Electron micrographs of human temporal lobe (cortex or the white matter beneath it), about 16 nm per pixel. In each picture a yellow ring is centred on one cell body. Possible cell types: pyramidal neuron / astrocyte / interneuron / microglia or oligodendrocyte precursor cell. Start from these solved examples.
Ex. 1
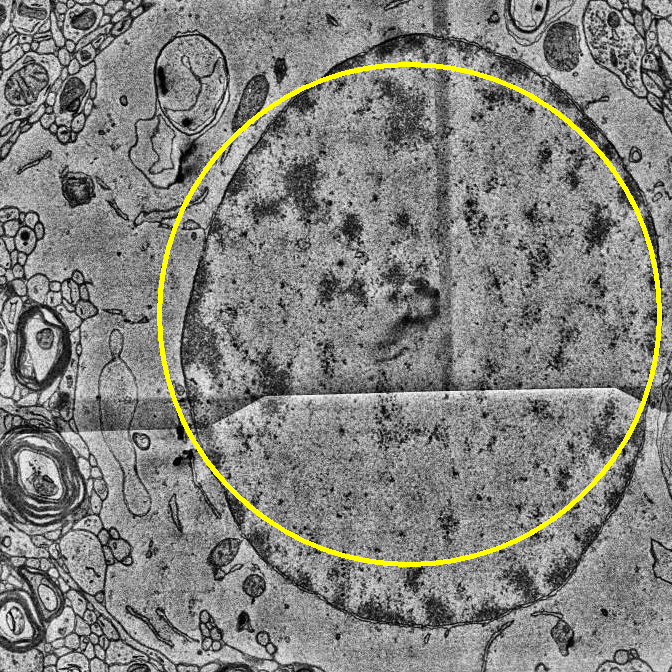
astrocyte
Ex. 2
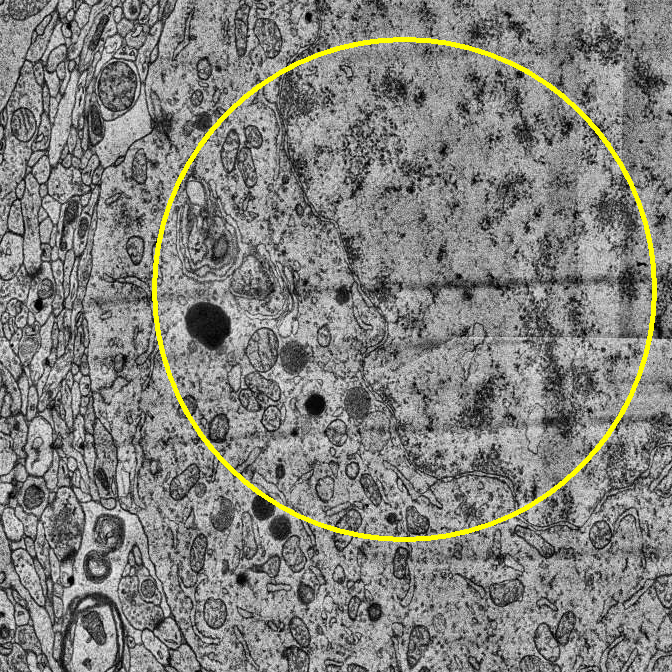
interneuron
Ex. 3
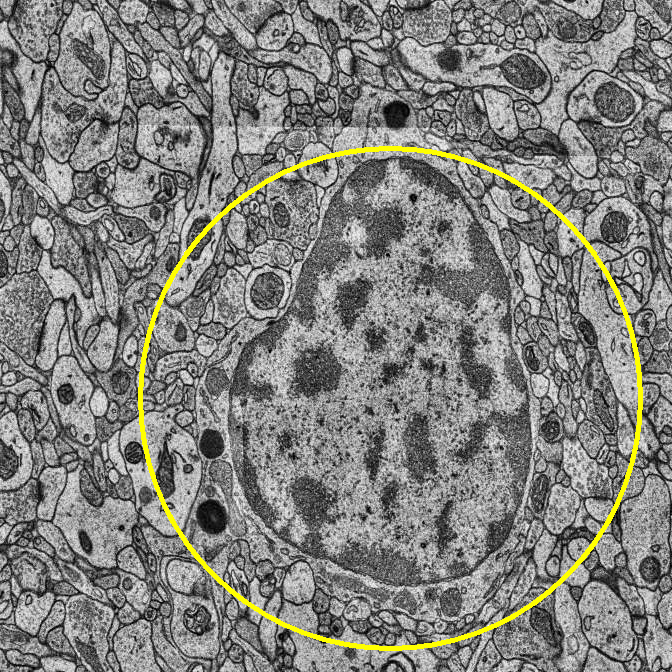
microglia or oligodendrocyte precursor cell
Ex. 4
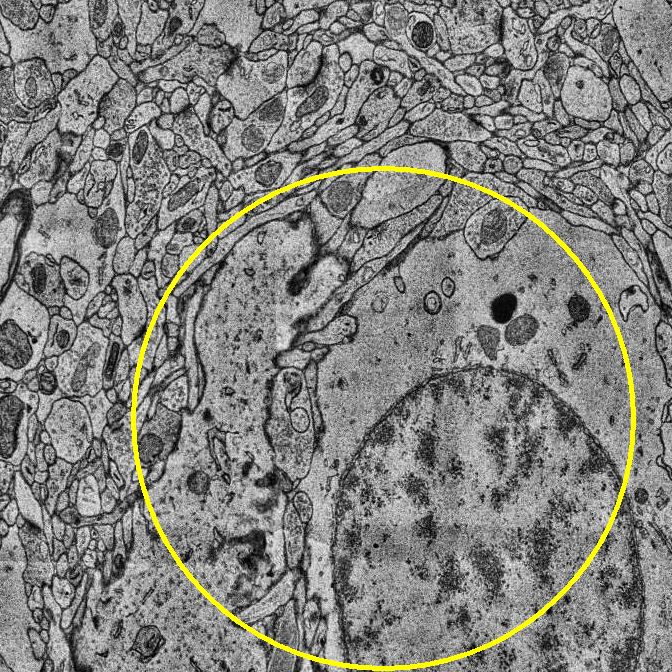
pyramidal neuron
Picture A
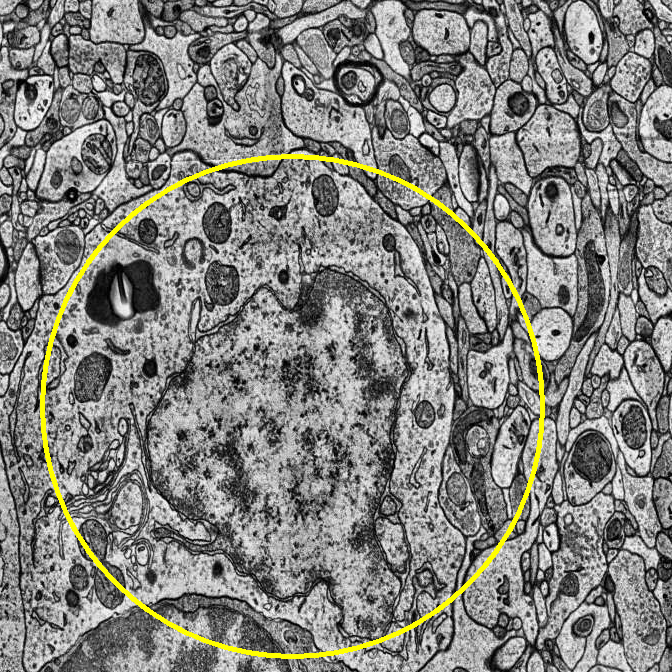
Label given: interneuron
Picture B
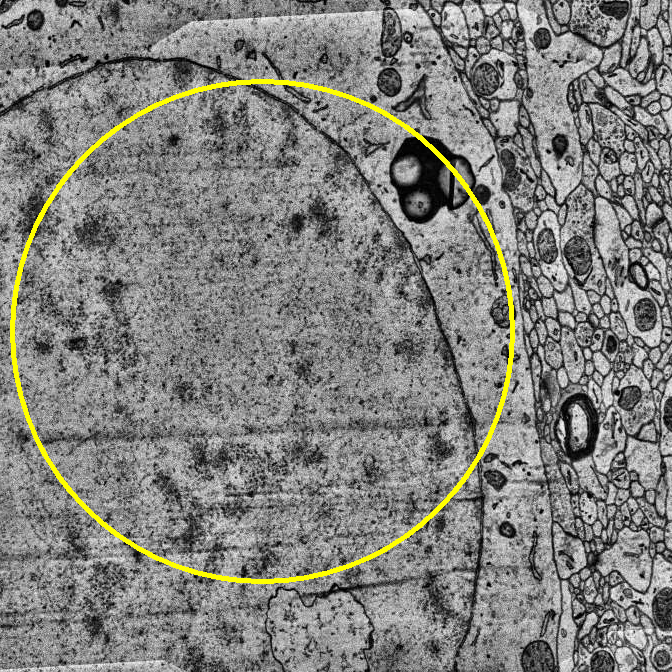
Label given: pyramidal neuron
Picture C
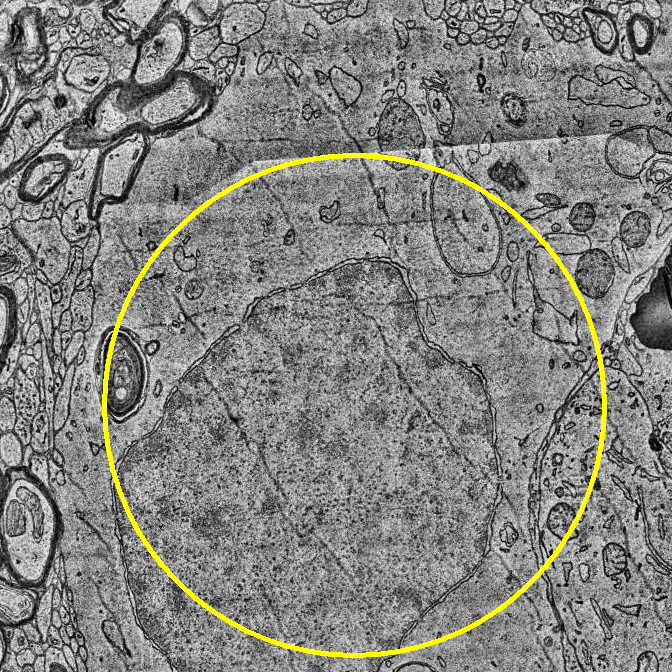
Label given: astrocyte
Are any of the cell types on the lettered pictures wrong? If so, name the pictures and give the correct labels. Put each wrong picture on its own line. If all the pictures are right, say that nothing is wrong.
All correct.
